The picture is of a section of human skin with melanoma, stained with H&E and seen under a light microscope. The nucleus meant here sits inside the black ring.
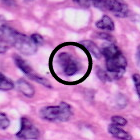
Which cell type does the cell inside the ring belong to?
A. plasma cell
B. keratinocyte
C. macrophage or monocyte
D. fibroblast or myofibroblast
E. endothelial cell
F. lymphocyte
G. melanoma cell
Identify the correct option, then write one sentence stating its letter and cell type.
Option G stands as correct, with the cell inside the ring being a melanoma cell.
